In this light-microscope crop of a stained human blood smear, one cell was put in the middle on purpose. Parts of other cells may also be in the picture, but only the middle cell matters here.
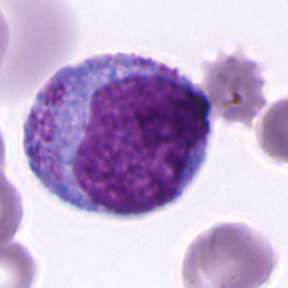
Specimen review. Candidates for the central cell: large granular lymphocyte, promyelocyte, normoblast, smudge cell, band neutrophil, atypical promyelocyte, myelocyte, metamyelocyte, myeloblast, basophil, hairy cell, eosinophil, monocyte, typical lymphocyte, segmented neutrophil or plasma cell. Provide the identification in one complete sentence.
Classification of the middle cell gives a promyelocyte.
